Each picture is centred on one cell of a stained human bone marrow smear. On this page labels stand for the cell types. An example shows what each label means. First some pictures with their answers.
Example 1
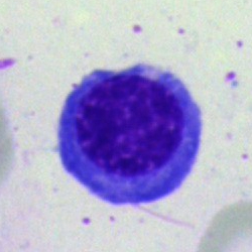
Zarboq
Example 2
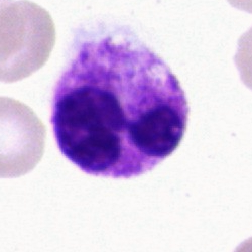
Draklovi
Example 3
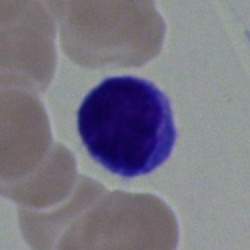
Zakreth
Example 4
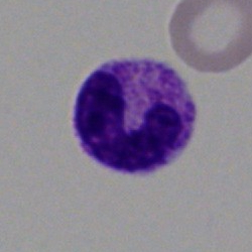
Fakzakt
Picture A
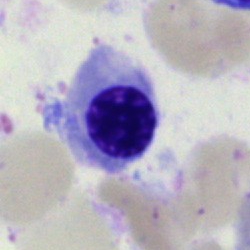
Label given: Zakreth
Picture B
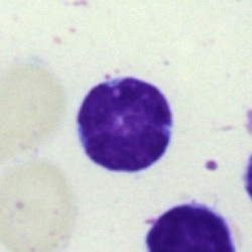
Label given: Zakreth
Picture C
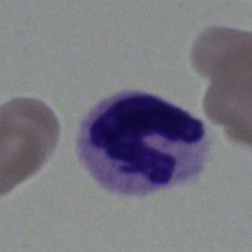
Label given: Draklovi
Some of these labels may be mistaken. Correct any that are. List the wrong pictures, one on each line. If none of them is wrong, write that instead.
Wrong: A (Zakreth); correct: Zarboq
